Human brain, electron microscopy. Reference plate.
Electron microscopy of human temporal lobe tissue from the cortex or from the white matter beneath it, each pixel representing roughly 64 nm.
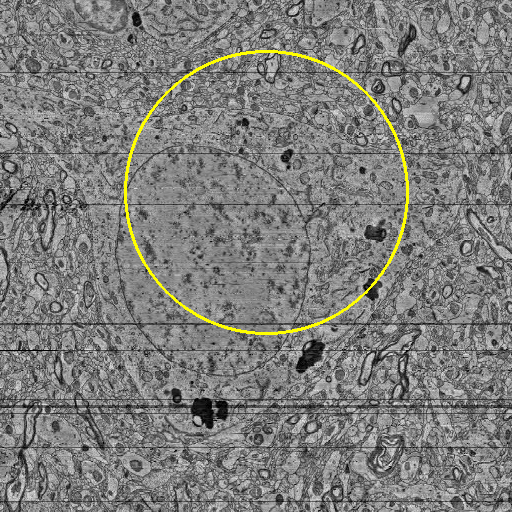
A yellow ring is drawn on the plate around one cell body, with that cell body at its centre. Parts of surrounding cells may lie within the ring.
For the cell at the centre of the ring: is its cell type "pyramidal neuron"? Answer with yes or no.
Yes, that is its cell type.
